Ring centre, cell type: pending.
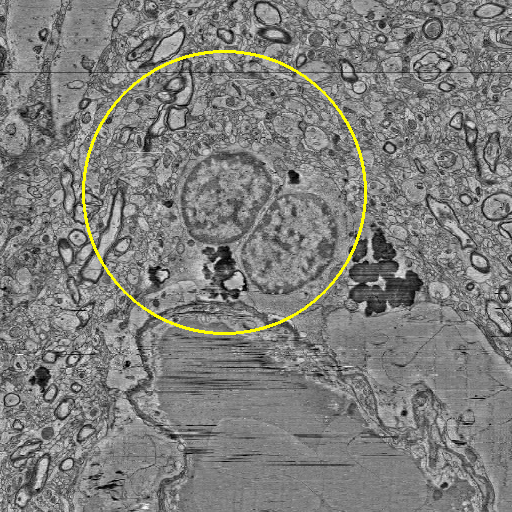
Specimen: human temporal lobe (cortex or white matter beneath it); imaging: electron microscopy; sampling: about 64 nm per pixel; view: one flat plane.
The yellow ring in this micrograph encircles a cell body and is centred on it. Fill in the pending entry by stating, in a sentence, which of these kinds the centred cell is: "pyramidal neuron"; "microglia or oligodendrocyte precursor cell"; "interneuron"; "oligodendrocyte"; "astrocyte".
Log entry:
The centred cell is recorded as an oligodendrocyte.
